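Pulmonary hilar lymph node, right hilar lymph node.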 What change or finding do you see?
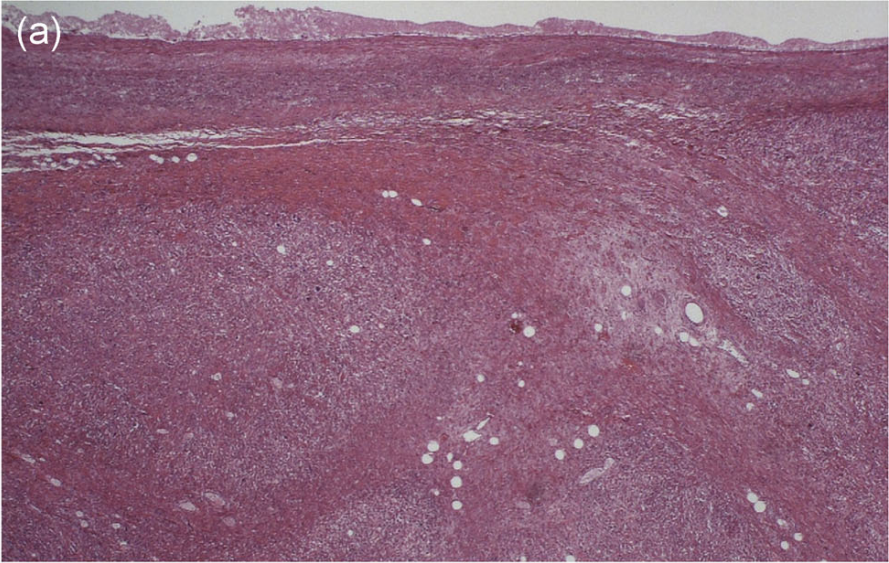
Nodular fibrosis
